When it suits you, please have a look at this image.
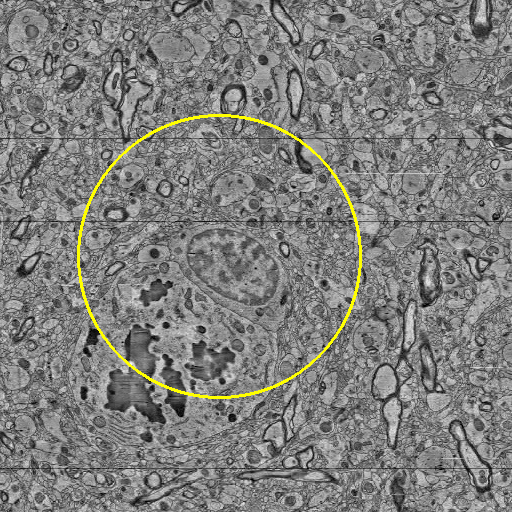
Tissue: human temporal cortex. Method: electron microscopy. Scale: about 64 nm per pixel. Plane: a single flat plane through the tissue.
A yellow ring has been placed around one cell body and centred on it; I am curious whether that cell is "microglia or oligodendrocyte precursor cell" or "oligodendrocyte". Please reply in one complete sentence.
The ringed cell, an oligodendrocyte, has its body at the centre of the yellow ring.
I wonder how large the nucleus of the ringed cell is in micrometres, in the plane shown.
About 6 by 4 micrometres in this plane.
